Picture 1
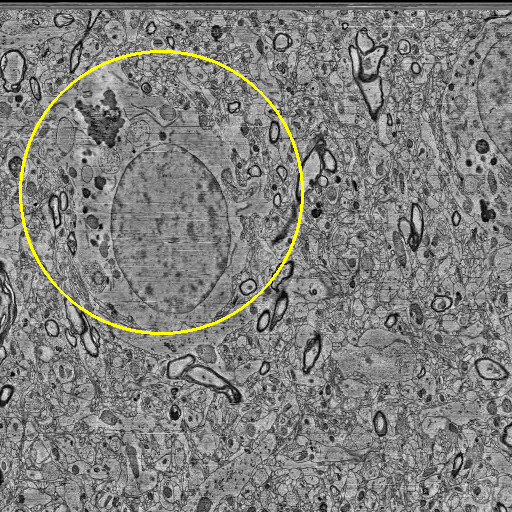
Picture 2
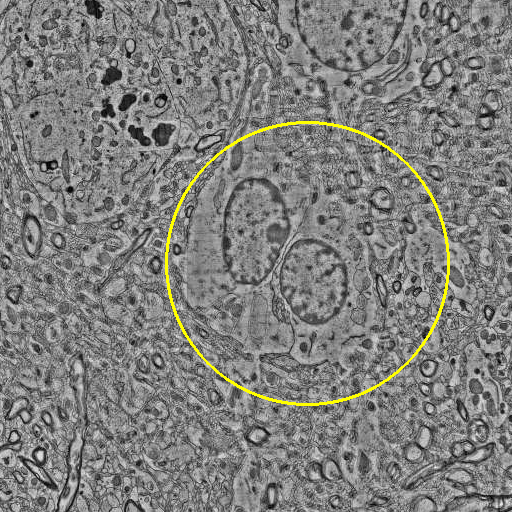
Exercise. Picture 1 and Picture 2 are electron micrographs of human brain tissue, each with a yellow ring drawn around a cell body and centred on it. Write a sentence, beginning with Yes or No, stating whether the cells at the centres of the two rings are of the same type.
Yes, the cells at the centres of both rings are of the same type.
